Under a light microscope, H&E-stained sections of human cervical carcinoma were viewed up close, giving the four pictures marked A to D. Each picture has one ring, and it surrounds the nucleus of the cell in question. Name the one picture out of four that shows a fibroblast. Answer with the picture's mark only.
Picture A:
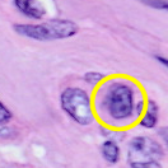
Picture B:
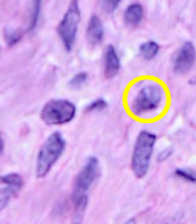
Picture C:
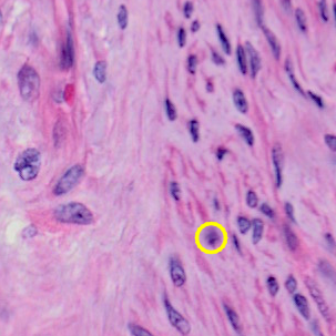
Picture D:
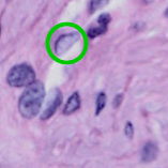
B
